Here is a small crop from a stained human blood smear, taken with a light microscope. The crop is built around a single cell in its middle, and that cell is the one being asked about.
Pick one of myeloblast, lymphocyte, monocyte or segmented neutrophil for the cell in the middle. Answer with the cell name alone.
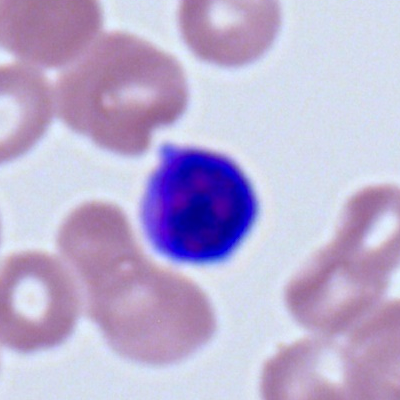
lymphocyte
